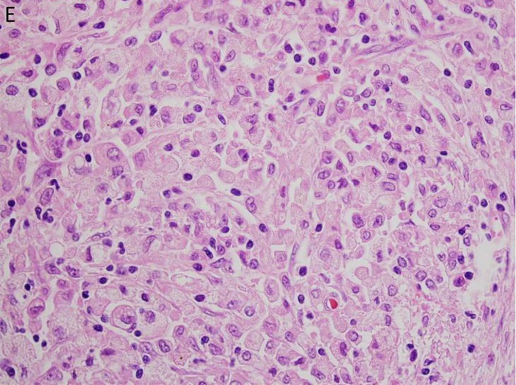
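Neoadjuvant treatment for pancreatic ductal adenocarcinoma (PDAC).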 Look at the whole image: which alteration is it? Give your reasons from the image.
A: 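A sheet of cells with abundant pale pink, finely granular cytoplasm. Nuclei are small, round to oval and bland. No gland-forming or clustered atypical epithelial cells are seen.
Macrophage infiltration.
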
